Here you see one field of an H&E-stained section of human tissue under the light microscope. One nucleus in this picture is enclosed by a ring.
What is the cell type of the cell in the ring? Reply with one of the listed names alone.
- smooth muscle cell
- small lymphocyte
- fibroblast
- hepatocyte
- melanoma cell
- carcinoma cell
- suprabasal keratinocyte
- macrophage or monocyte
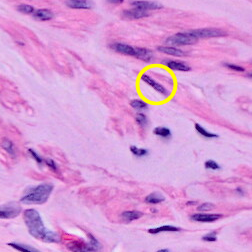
smooth muscle cell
